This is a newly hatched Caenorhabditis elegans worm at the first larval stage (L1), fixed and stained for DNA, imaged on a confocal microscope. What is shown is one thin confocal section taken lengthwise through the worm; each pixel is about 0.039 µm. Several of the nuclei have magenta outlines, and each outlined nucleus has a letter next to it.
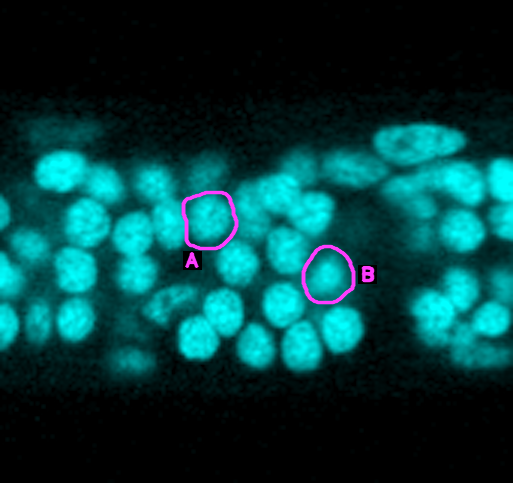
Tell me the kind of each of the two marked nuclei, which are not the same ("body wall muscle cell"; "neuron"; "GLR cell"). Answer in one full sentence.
B belongs to a GLR cell, and A to a neuron.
